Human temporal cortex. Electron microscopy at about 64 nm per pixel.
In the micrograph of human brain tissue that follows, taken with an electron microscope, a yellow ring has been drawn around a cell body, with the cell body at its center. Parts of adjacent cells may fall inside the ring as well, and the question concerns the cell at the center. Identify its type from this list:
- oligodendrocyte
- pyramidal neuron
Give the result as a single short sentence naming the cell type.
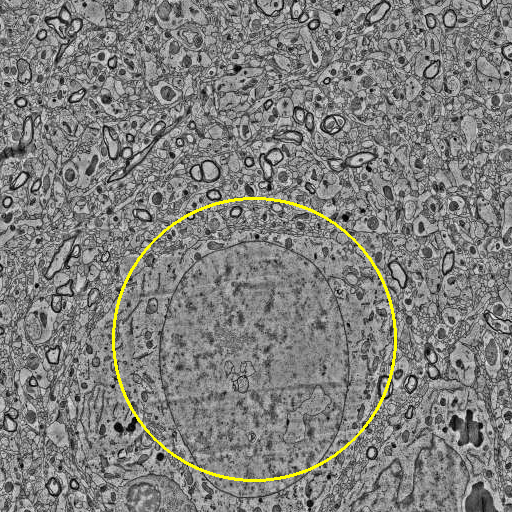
The ring is centered on a pyramidal neuron.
